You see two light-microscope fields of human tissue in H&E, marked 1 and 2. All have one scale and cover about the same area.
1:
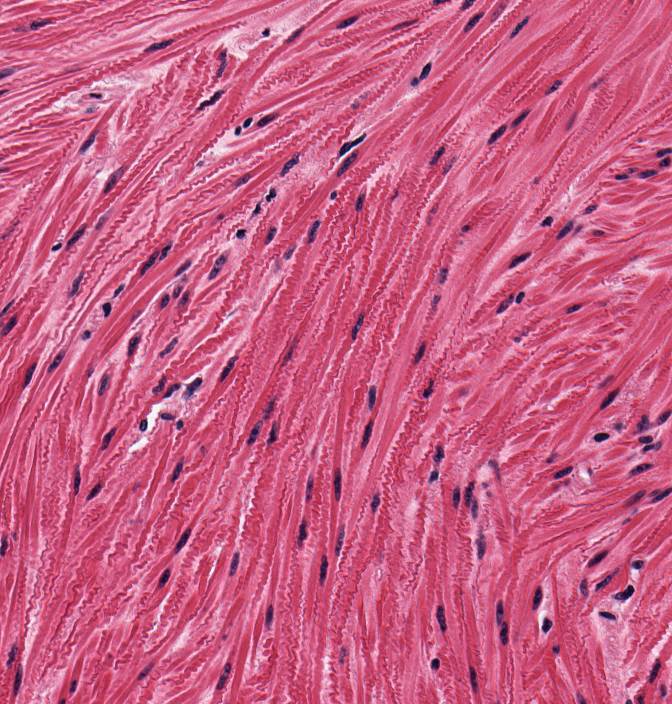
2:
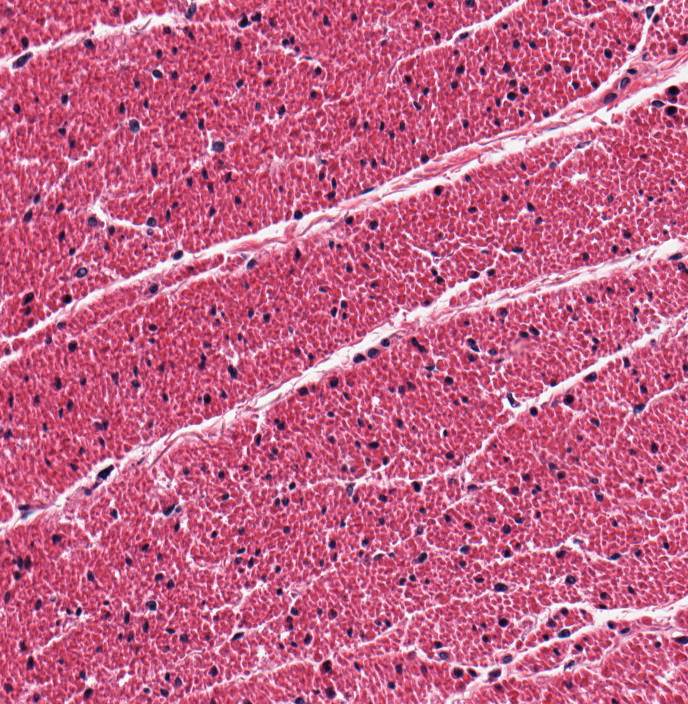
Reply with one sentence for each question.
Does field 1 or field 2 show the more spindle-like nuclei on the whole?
On the whole the nuclei of field 1 are more drawn out than those of field 2.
